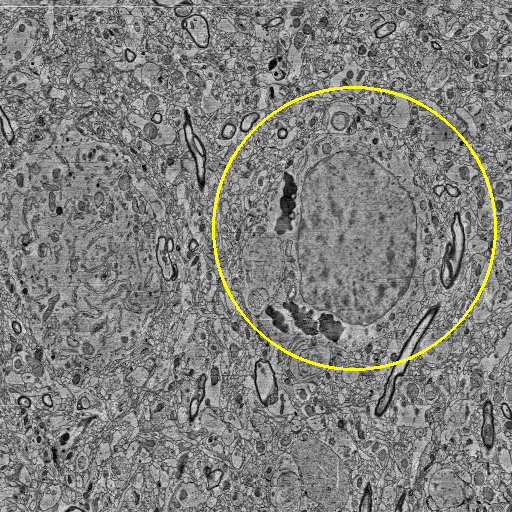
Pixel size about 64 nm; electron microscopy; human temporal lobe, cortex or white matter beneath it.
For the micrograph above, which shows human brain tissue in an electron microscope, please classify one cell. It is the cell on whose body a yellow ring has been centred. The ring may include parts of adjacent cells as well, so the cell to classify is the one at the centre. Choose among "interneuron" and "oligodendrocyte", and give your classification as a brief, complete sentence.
I classify this cell as an interneuron.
